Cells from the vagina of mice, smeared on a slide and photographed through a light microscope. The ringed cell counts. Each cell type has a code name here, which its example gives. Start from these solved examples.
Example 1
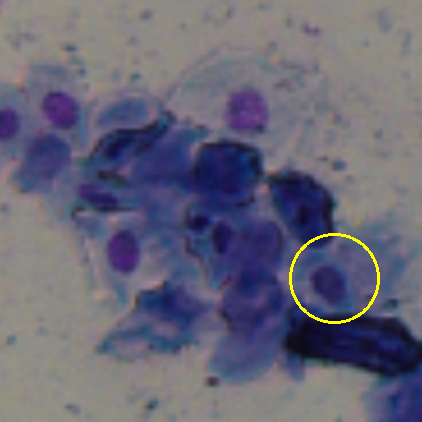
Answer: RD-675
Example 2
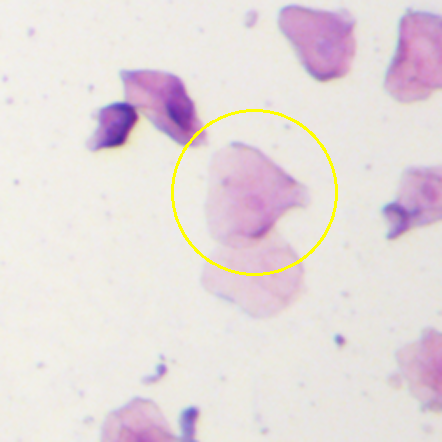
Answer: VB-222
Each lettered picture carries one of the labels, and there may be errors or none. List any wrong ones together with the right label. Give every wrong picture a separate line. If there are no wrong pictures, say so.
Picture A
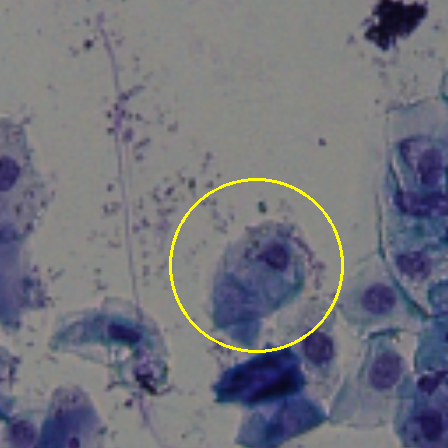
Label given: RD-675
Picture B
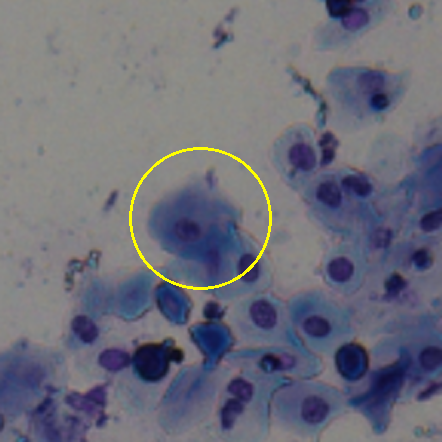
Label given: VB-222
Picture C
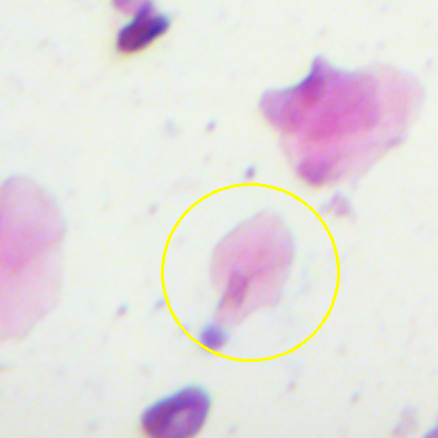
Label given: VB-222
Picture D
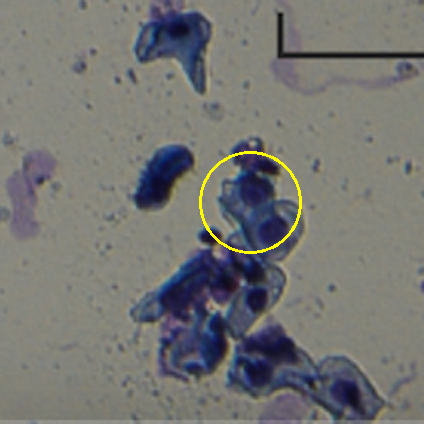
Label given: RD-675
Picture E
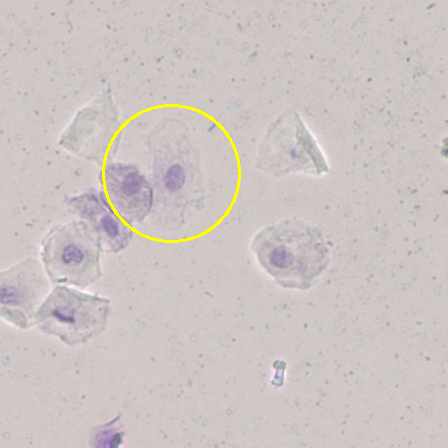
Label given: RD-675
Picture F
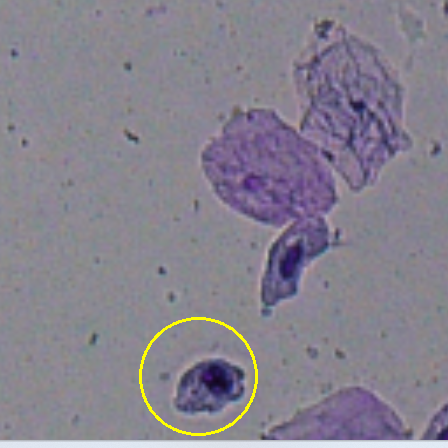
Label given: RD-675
Wrong: B (VB-222); correct: RD-675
